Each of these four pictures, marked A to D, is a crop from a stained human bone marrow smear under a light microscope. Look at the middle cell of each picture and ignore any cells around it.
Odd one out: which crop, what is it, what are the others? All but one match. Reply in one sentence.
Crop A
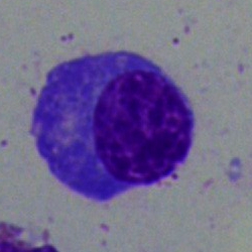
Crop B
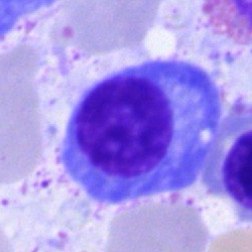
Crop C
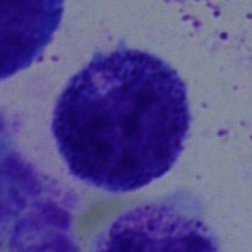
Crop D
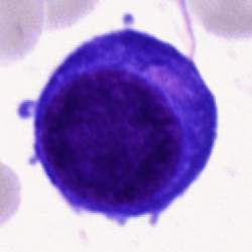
Crop C is the odd one out, being a promyelocyte, while all the other crops show plasma cells.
